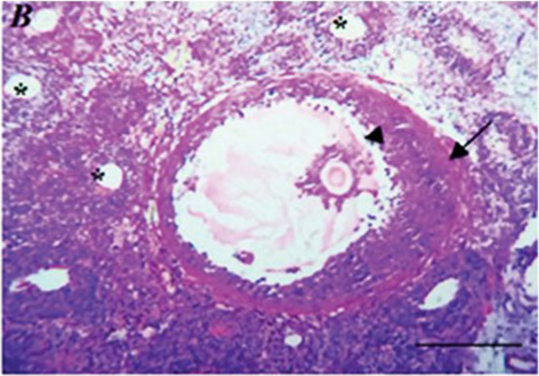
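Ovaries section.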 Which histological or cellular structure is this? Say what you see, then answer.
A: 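A large follicle with a wide fluid-filled cavity containing pale pink material. An oocyte surrounded by a cluster of granulosa cells sits at one side of the cavity. A rim of granulosa cells and an outer dark pink cell layer encircle the cavity. So: antral follicles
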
